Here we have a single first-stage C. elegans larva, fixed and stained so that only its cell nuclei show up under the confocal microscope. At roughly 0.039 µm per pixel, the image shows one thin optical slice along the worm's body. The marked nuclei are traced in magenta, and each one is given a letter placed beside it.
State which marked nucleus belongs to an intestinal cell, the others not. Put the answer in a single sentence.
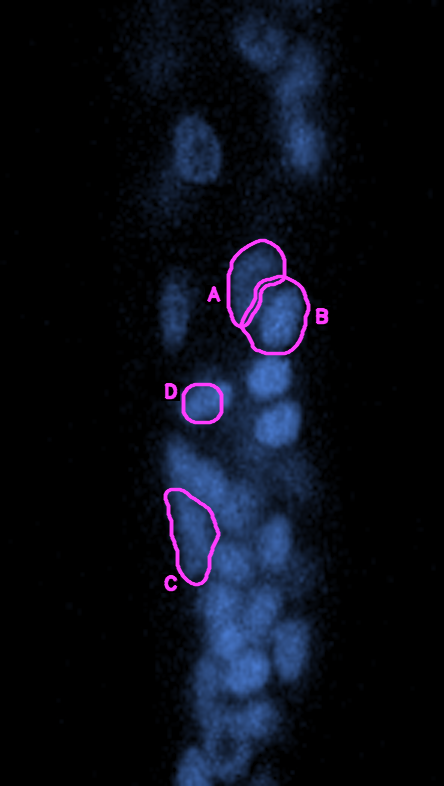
Nucleus A belongs to an intestinal cell.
